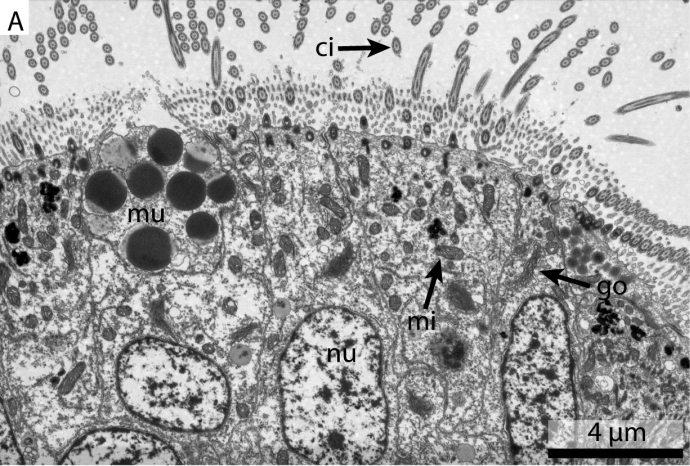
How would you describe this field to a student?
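Columnar epithelial cells sit side by side with a dense fringe of cilia rising from their apical surface, the cilia cut both across as small rings and along their length. Below the surface the apical cytoplasm holds many elongated mitochondria, small very dark irregular bodies, stacked Golgi membranes and, in one cell, a cluster of large round dark mucus granules. Further down lie large oval nuclei with clumped dark chromatin along the envelope and scattered through the nucleoplasm.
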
